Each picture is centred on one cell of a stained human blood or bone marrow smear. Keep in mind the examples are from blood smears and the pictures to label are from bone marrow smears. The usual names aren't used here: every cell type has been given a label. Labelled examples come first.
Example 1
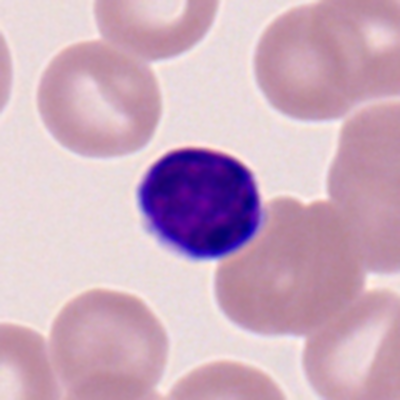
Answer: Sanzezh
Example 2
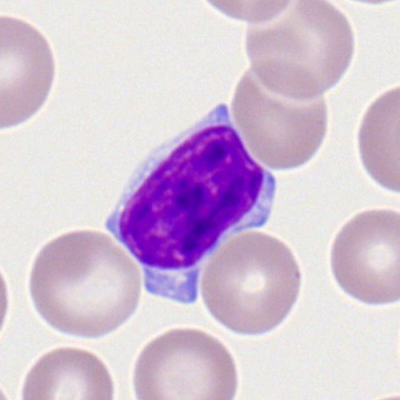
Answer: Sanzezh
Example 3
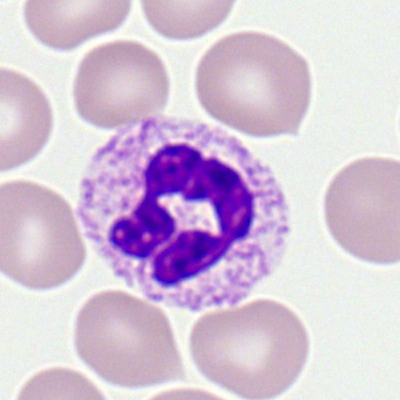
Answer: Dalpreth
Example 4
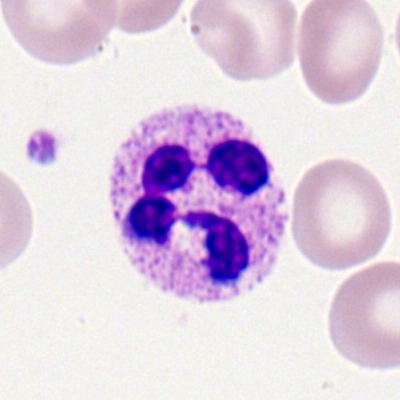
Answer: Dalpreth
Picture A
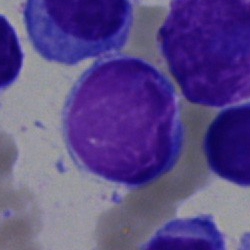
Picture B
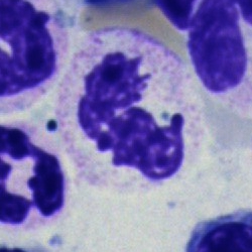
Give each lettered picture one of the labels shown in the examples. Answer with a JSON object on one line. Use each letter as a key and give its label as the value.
{"A": "Sanzezh", "B": "Dalpreth"}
